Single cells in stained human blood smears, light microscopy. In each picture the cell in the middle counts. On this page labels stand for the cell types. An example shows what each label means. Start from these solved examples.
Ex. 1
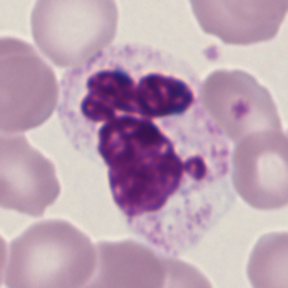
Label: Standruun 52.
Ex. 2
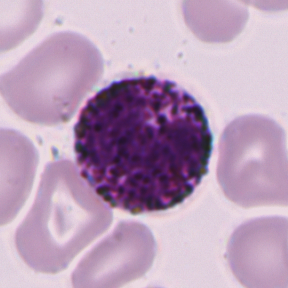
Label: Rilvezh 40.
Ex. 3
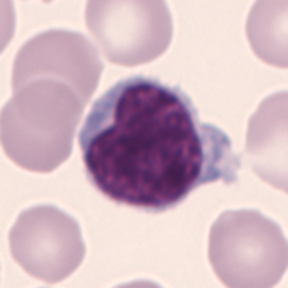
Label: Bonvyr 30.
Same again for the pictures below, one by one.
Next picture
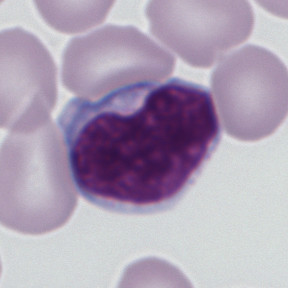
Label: Bonvyr 30.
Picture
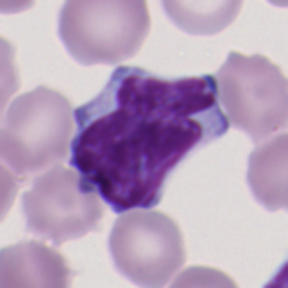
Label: Bonvyr 30.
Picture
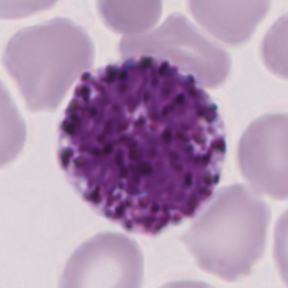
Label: Rilvezh 40.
